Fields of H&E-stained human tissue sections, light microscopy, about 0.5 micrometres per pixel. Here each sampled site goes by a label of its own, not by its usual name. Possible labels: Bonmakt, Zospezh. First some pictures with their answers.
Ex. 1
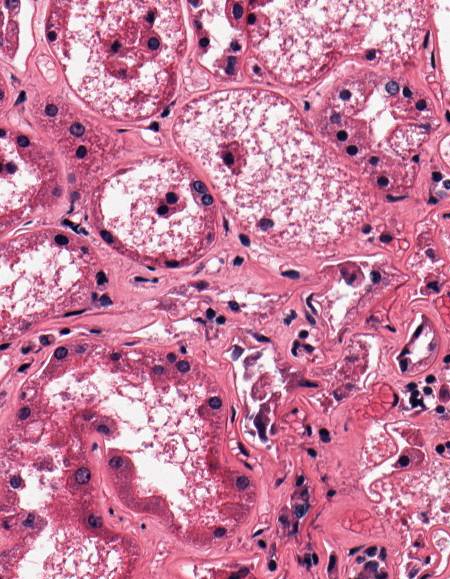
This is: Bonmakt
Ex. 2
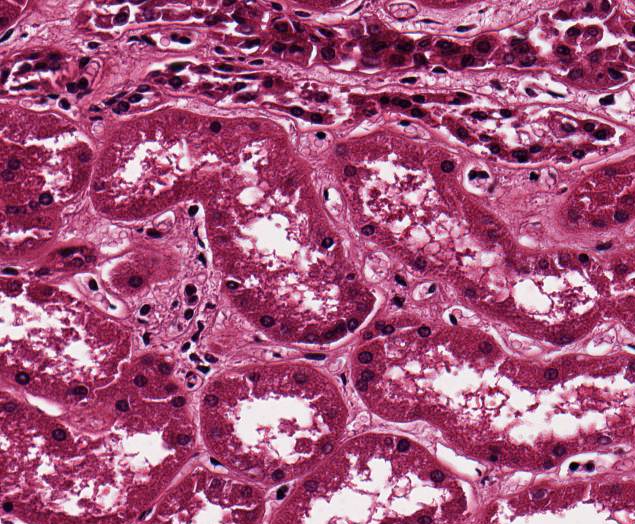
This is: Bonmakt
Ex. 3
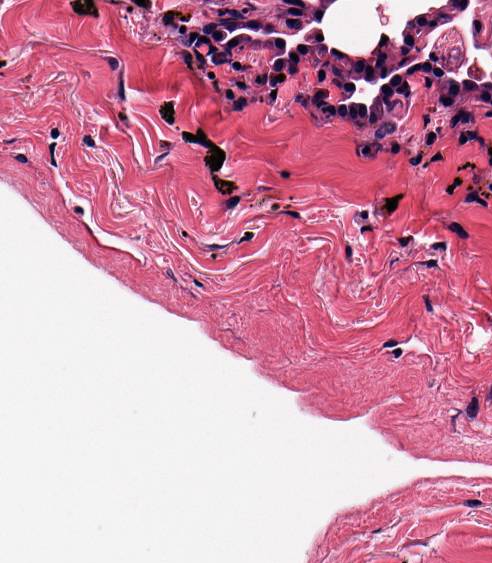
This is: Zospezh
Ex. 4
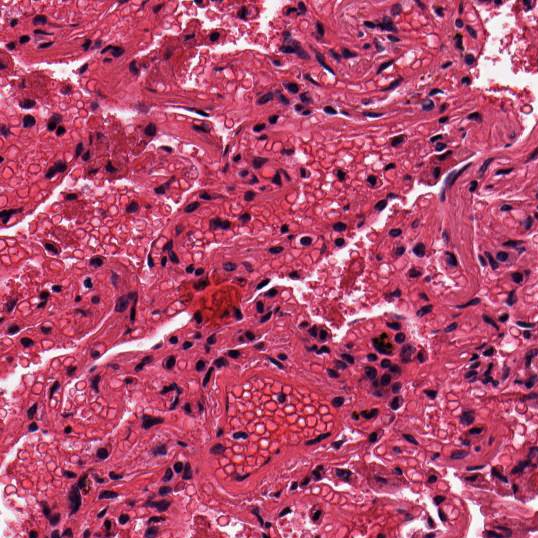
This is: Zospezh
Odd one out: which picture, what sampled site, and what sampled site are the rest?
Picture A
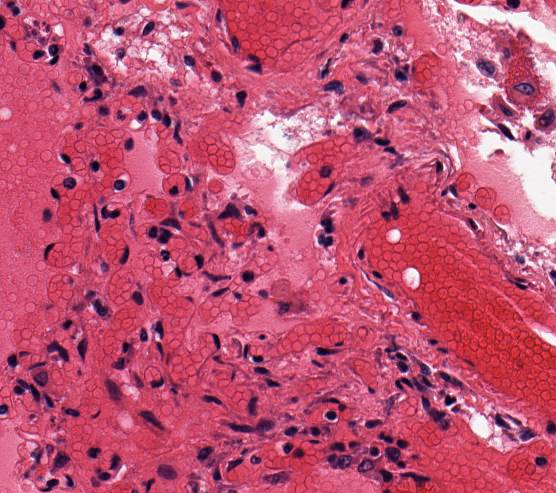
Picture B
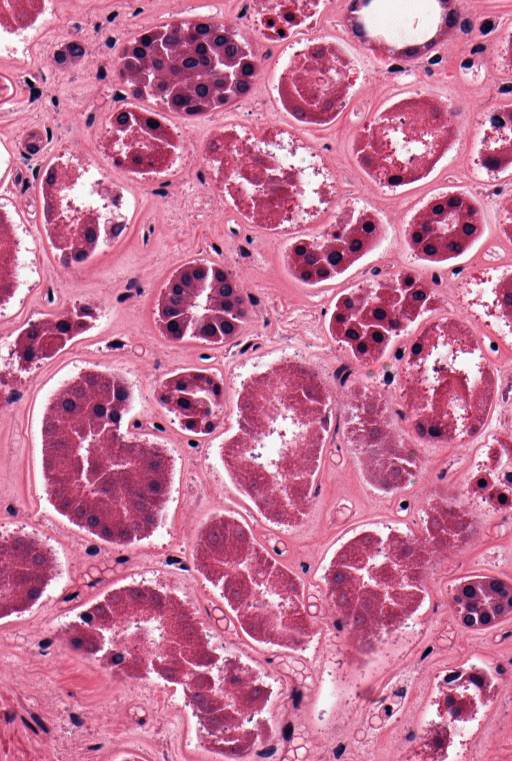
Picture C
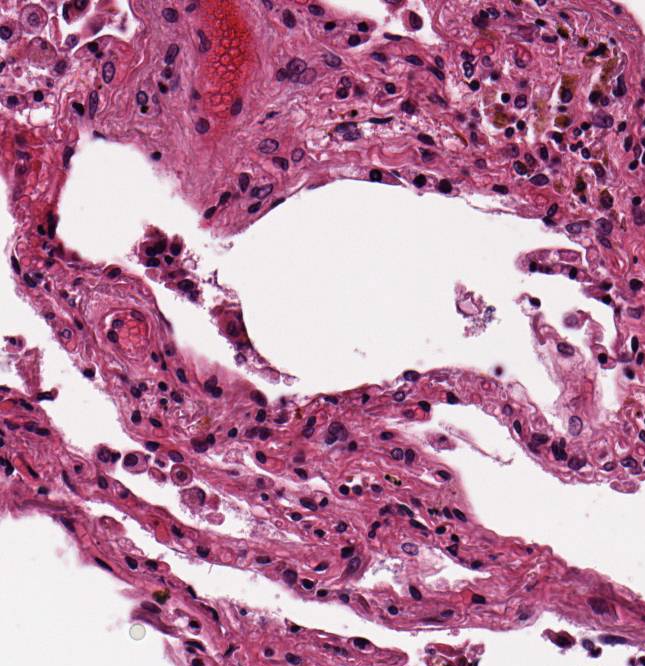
Different: B, Bonmakt. Others: Zospezh.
